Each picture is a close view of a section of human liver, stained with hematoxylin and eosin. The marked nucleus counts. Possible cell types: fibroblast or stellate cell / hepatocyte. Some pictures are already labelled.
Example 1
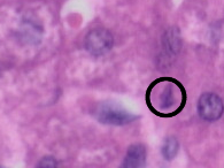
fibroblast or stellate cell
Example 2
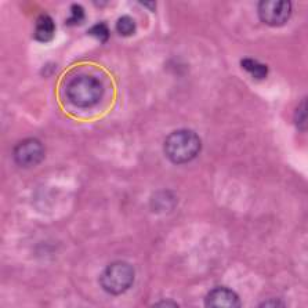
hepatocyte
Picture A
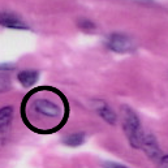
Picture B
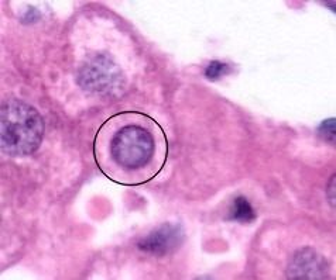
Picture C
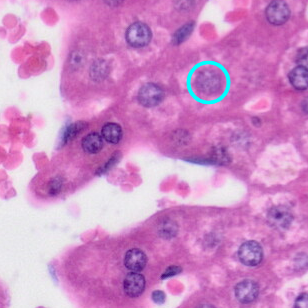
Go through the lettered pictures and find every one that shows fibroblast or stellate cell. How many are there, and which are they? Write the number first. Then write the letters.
Count: 1 (A)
